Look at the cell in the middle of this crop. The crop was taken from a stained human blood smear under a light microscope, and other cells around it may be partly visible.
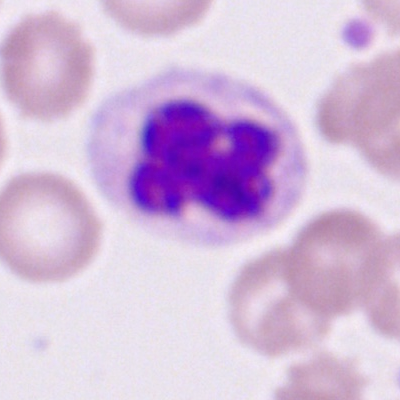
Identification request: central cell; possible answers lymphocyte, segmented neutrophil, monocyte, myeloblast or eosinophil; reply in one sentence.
The target cell in the middle of the crop is a segmented neutrophil.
